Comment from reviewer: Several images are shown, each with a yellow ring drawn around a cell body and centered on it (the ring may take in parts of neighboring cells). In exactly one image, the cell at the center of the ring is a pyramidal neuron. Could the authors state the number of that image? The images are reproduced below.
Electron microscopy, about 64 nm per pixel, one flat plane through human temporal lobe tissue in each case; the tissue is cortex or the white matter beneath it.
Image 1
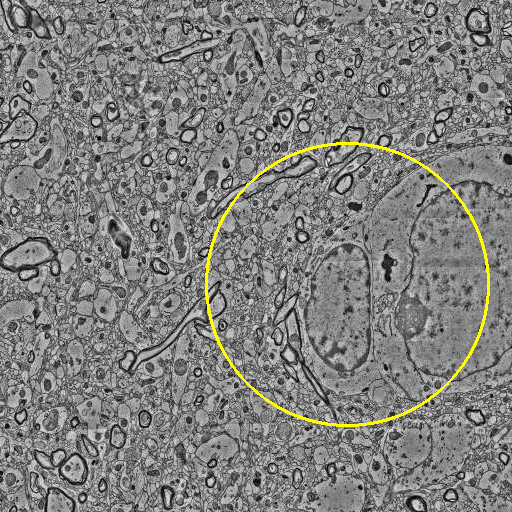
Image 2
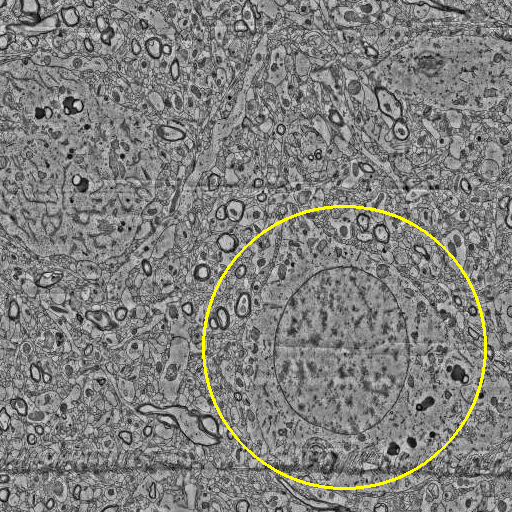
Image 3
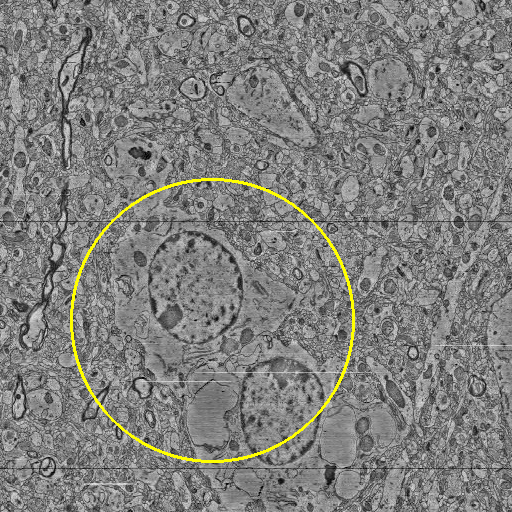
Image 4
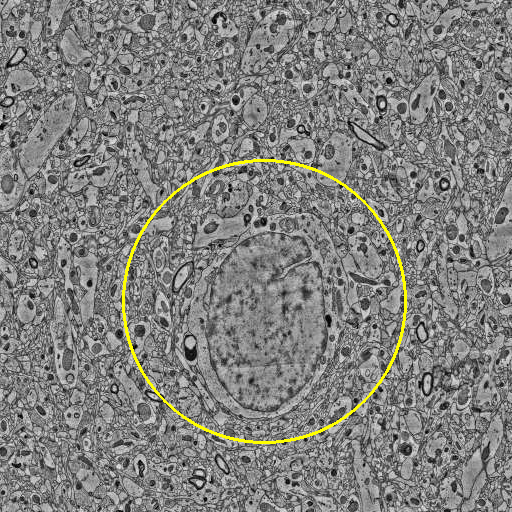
2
